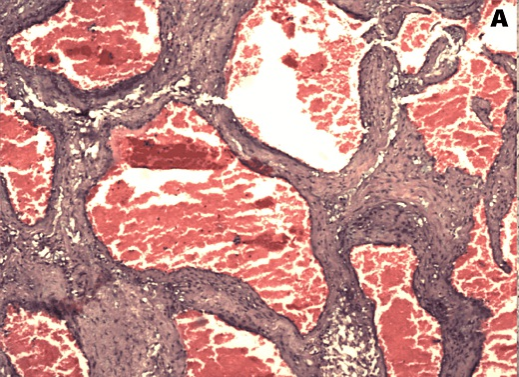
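At low magnification, this section is dominated by dilated vascular channels of widely varying size and irregular outline. Most of the channels are filled with red-staining blood cells, and a few are partly empty and appear white. Between the channels run purple-staining fibrous walls, some thin, others thicker and carrying scattered dark nuclei.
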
